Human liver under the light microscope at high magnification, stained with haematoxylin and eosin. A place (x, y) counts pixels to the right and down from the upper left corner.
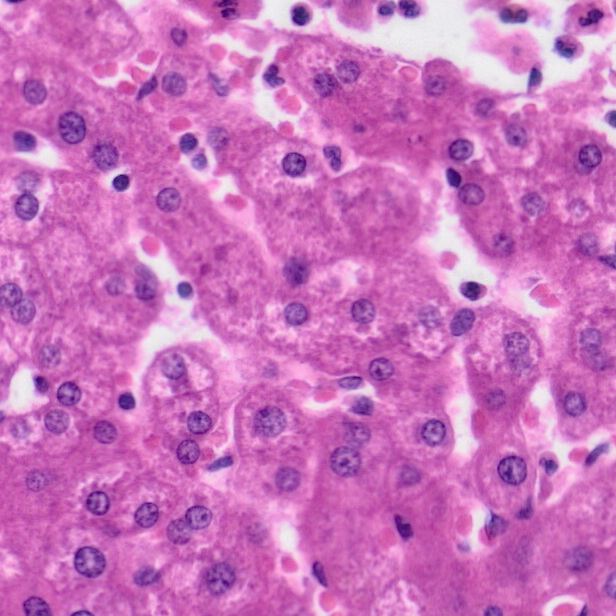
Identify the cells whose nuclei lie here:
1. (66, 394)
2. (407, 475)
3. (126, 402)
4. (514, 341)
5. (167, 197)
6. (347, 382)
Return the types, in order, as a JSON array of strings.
["hepatocyte", "hepatocyte", "lymphocyte", "hepatocyte", "hepatocyte", "Kupffer cell"]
